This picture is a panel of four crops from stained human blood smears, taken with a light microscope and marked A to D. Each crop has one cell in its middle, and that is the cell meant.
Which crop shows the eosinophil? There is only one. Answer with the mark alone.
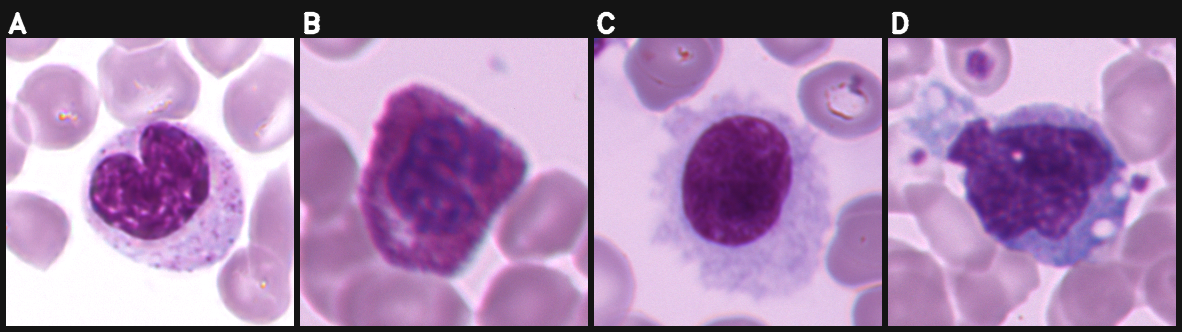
B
